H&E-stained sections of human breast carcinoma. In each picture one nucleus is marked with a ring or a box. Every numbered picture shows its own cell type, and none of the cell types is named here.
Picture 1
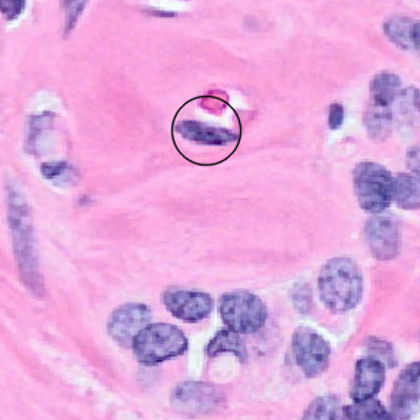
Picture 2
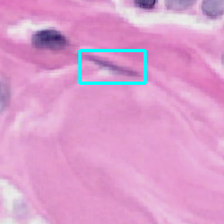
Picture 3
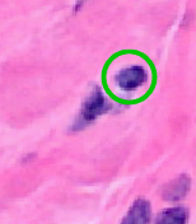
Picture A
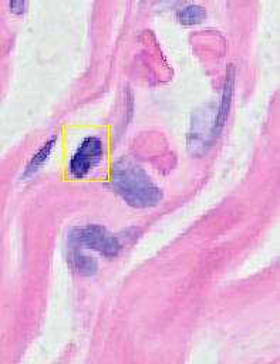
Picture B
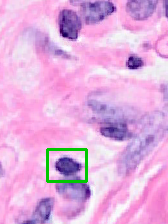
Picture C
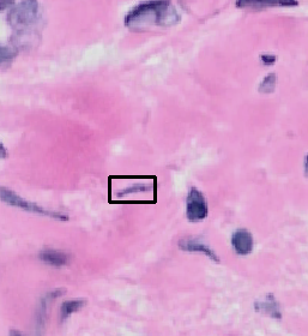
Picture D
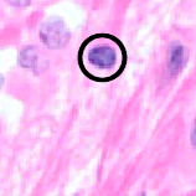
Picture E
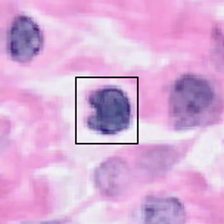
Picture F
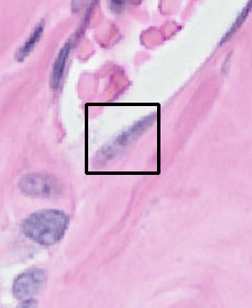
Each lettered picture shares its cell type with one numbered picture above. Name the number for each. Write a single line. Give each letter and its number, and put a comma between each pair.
A 3, B 3, C 2, D 3, E 3, F 1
